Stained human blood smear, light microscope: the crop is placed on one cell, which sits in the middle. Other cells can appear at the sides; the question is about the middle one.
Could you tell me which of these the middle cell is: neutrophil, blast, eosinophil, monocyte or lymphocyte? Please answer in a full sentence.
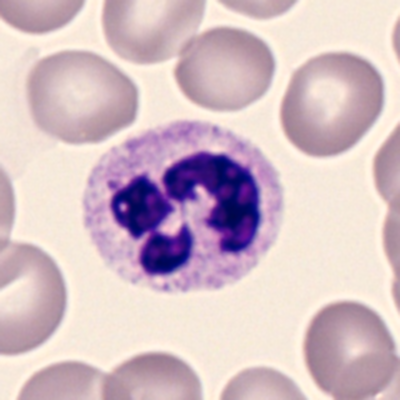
The middle of this crop holds a neutrophil.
